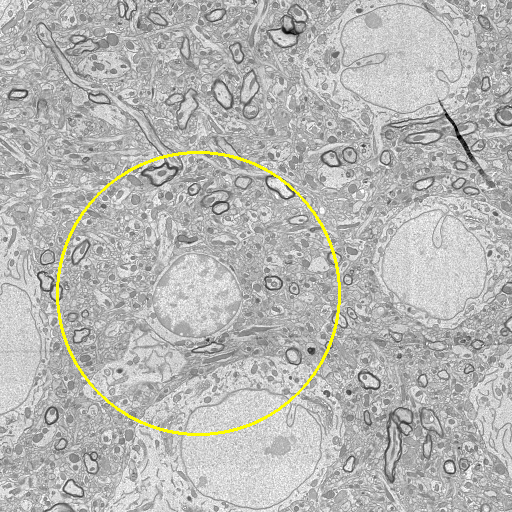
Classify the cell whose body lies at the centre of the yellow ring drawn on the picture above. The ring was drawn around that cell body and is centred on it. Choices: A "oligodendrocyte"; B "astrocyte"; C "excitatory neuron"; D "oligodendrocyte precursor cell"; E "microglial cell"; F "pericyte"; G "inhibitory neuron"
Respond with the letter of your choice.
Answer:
A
